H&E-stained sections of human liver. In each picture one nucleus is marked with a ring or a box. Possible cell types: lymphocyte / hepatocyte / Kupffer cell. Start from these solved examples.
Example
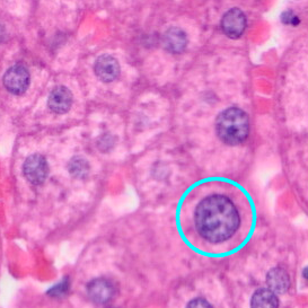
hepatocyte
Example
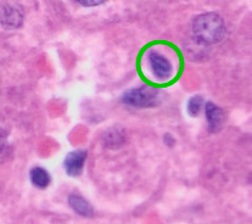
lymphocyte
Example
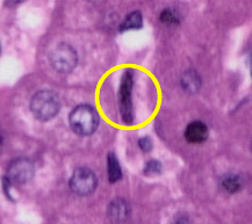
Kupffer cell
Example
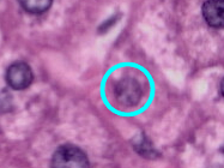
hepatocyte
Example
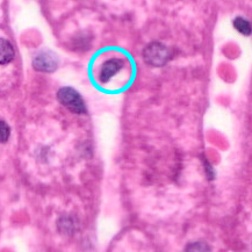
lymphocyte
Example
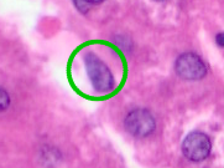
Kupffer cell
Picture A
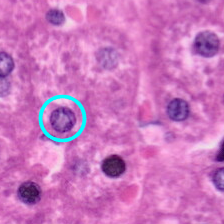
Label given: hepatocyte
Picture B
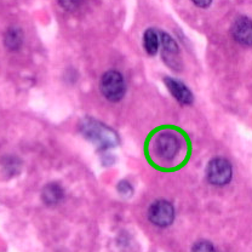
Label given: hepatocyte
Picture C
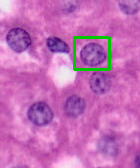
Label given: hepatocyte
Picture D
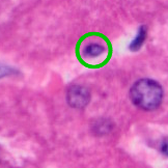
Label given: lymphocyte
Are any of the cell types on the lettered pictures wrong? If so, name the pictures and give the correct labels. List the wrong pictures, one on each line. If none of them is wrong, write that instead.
None of the labels needs changing.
